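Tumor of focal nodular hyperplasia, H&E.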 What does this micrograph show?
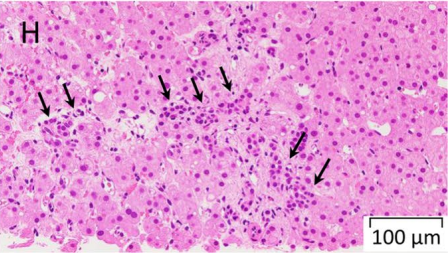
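This field shows liver tissue of large pale pink hepatocytes with round nuclei, interrupted by clusters of much smaller cells. The small cells have dark, crowded nuclei and scant cytoplasm and form irregular groups and cords among the hepatocytes, a ductal reaction. These clusters stand out as dark purple foci against the paler hepatocytes. The hepatocytes around them have abundant pale, somewhat clear cytoplasm. A few open spaces lie between cell plates.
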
